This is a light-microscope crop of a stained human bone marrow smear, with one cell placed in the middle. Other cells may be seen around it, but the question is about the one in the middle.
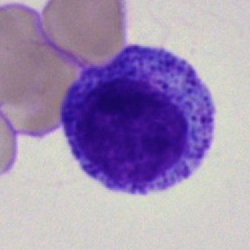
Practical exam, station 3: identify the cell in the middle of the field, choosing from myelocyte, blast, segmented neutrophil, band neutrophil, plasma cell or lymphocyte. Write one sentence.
The cell of interest, in the center, is a myelocyte.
